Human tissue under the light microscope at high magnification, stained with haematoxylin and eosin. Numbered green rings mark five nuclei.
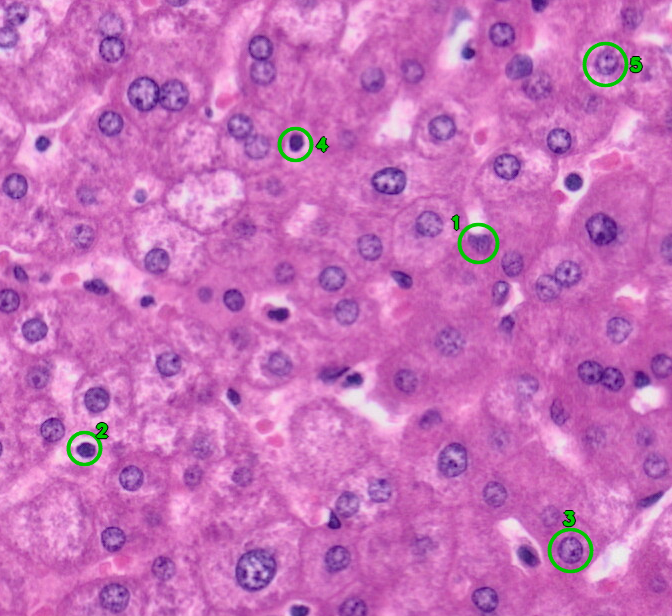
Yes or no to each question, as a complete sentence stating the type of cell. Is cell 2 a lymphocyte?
Yes, the cell identified by number 2 is a lymphocyte.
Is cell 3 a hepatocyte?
Yes, the cell that is numbered 3 is a hepatocyte.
